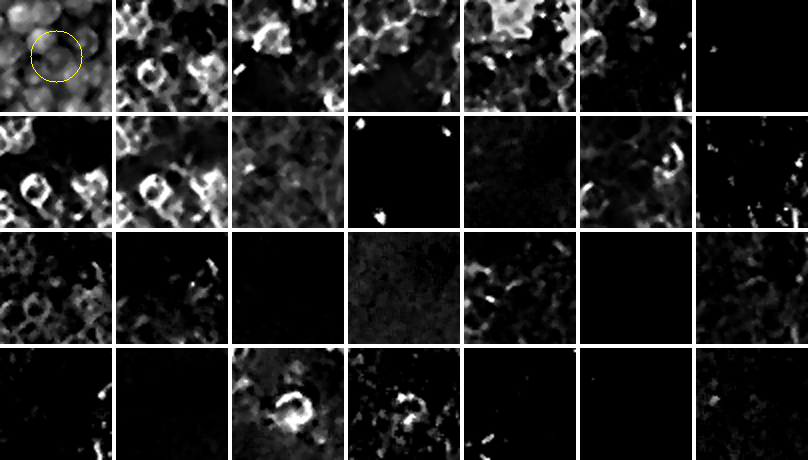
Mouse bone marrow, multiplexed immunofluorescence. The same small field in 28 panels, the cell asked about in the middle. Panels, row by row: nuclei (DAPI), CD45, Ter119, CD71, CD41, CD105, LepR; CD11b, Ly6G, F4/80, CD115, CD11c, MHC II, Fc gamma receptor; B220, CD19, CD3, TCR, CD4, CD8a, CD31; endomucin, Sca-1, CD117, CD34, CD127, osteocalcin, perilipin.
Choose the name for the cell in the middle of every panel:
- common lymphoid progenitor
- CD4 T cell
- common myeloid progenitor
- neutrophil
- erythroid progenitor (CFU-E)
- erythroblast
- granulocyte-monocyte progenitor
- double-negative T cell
common myeloid progenitor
